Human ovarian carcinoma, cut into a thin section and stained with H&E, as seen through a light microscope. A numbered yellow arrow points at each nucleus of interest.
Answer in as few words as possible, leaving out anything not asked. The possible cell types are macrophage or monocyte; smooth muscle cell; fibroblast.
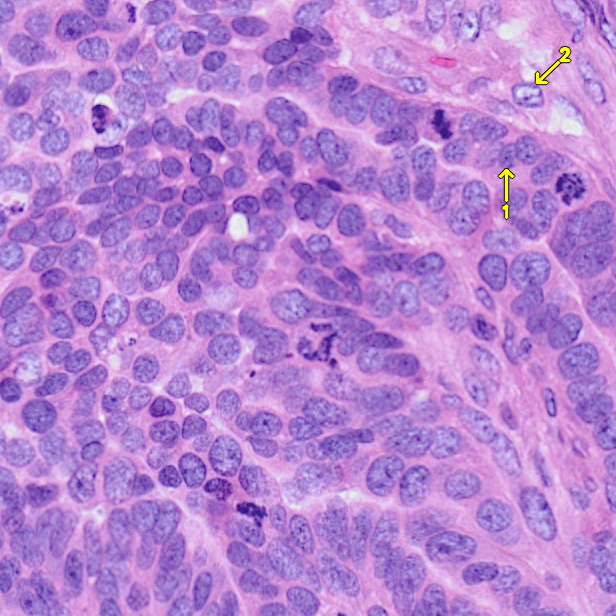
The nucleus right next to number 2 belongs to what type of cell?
fibroblast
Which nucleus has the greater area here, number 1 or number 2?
2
